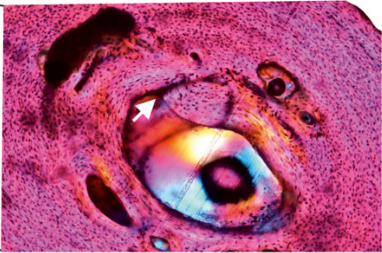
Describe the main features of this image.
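The bone appears pink-red, speckled with many small dark lacunae. Around the central cavity several large, irregular dark holes open in the bone, much larger than the lacunae.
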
